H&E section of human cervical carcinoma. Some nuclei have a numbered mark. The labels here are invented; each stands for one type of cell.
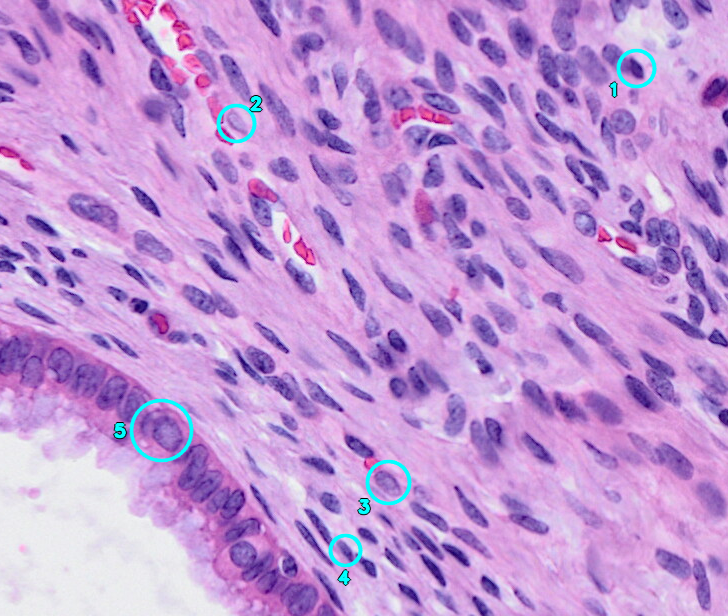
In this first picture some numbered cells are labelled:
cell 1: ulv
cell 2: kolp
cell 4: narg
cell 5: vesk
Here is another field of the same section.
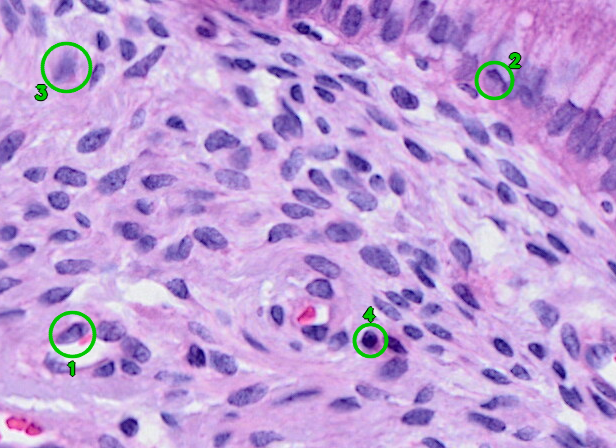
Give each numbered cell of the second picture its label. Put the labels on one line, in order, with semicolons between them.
kolp; vesk; narg; ulv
